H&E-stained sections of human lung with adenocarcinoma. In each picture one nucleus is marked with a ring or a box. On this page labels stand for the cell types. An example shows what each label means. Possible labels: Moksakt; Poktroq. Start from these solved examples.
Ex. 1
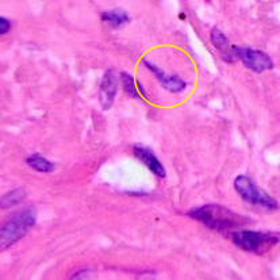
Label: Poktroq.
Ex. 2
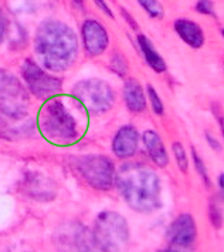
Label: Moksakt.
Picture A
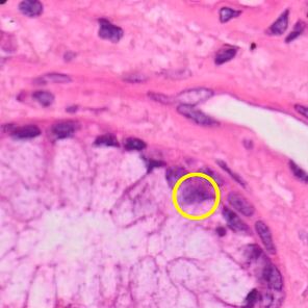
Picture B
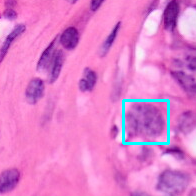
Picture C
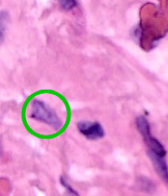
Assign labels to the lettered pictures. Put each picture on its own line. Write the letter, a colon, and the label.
A: Moksakt.
B: Moksakt.
C: Poktroq.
